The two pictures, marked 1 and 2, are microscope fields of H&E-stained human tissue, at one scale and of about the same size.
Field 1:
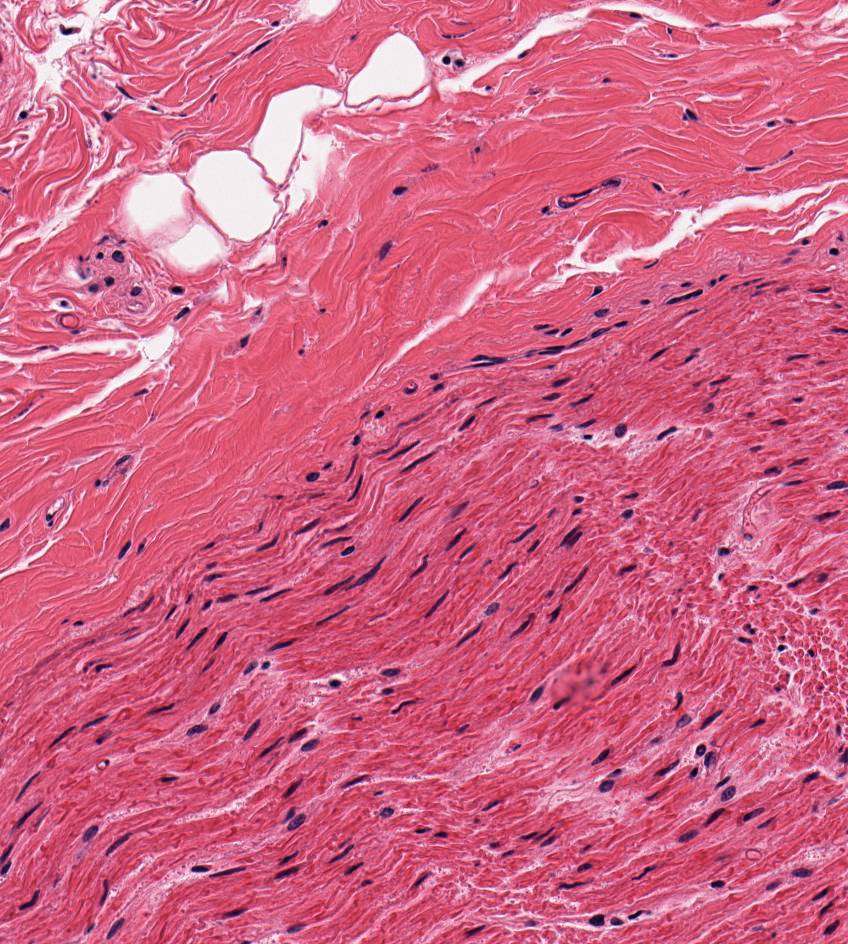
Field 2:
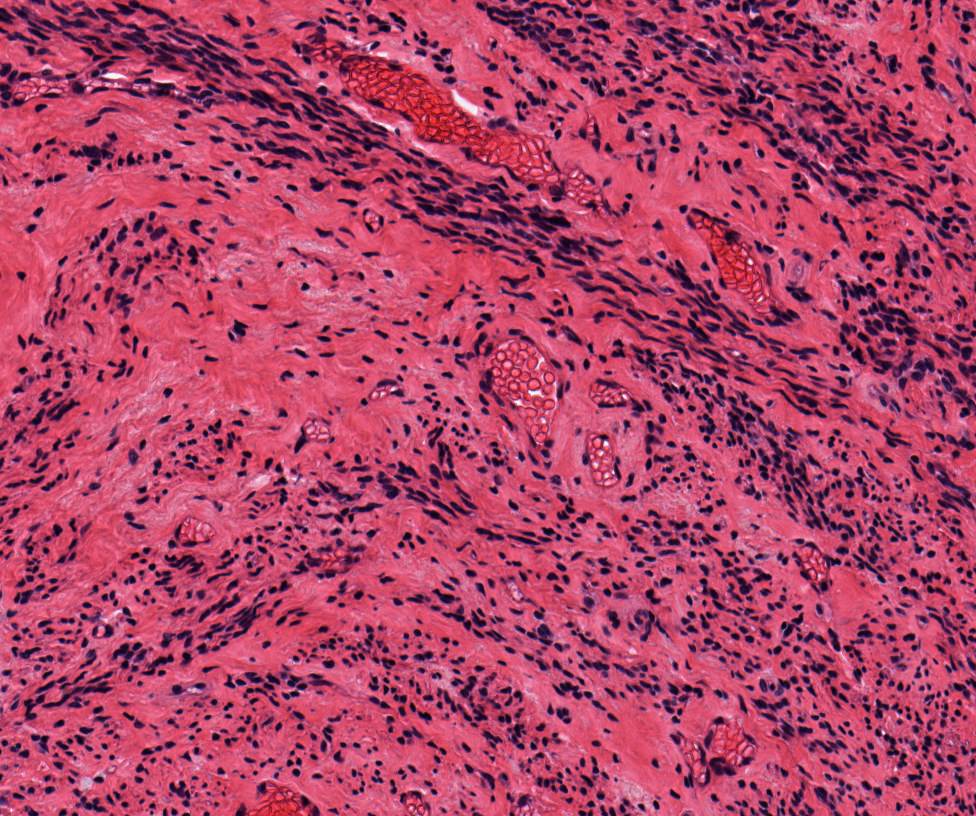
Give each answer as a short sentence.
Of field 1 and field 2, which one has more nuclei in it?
More nuclei lie in field 2 than in field 1.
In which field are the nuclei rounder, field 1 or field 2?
Rounder nuclei lie in field 2.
